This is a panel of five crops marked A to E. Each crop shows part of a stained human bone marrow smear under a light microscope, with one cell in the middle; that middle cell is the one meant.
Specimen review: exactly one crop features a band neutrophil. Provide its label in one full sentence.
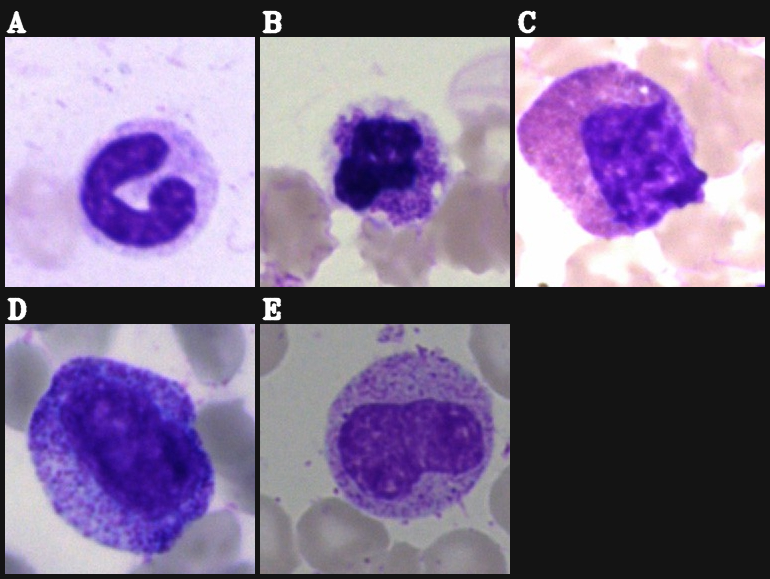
Of the crops shown, crop A depicts a band neutrophil.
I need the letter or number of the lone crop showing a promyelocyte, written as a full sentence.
Crop D is the one that shows a promyelocyte.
